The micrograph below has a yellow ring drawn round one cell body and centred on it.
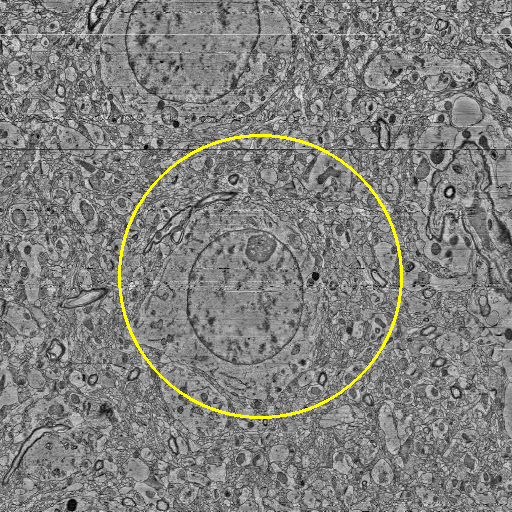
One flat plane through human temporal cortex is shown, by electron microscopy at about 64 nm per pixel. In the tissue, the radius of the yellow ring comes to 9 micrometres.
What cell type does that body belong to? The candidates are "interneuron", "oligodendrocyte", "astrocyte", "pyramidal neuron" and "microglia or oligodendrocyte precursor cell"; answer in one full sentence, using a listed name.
This is a pyramidal neuron, the cell whose body lies at the centre of the ring.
